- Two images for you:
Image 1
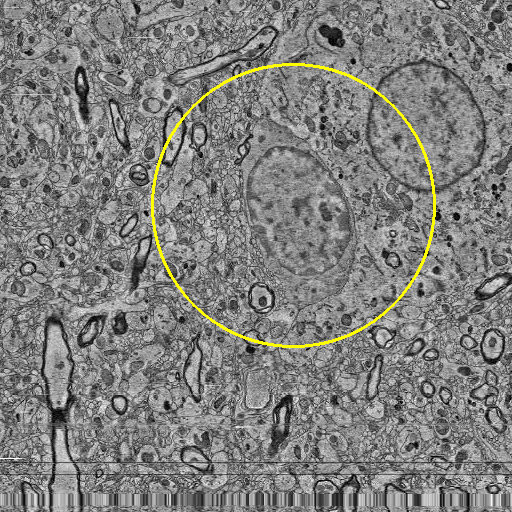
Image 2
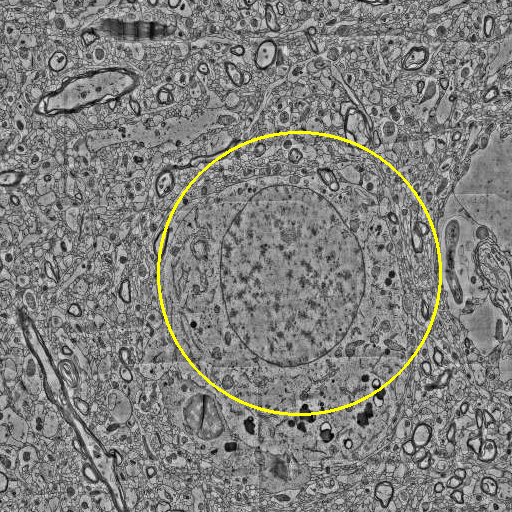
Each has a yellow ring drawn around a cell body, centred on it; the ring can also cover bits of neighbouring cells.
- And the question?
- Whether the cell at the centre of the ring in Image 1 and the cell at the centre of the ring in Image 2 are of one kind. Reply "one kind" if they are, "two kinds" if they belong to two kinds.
two kinds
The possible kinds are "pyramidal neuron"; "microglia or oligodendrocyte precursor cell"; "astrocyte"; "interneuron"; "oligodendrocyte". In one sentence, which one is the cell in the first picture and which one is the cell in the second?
The cell ringed in the second picture is a pyramidal neuron, whereas the one ringed in the first is an oligodendrocyte.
